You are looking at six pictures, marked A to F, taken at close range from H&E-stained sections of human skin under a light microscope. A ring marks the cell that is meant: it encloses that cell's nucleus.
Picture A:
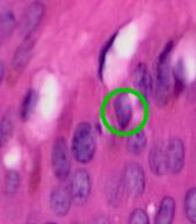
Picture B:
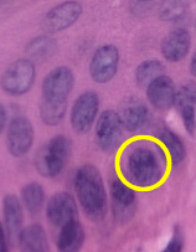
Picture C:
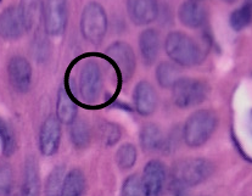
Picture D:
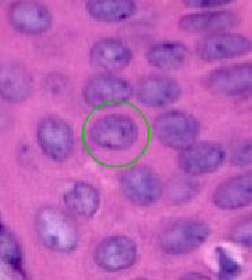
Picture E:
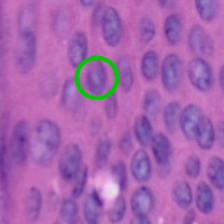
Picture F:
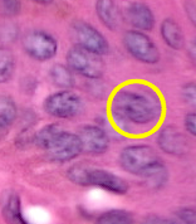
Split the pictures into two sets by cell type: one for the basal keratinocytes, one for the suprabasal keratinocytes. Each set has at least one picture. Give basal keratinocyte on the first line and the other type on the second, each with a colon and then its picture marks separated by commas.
basal keratinocyte: A, B, C
suprabasal keratinocyte: D, E, F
